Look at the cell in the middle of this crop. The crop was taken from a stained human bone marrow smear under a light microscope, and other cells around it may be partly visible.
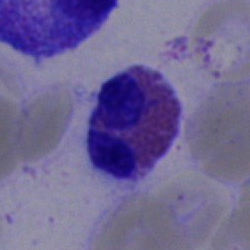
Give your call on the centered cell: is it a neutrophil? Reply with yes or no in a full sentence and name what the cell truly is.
No, the cell at the centre is an eosinophil, which rules out a neutrophil.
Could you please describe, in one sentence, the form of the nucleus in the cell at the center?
The key feature is a nucleus with multiple lobes.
